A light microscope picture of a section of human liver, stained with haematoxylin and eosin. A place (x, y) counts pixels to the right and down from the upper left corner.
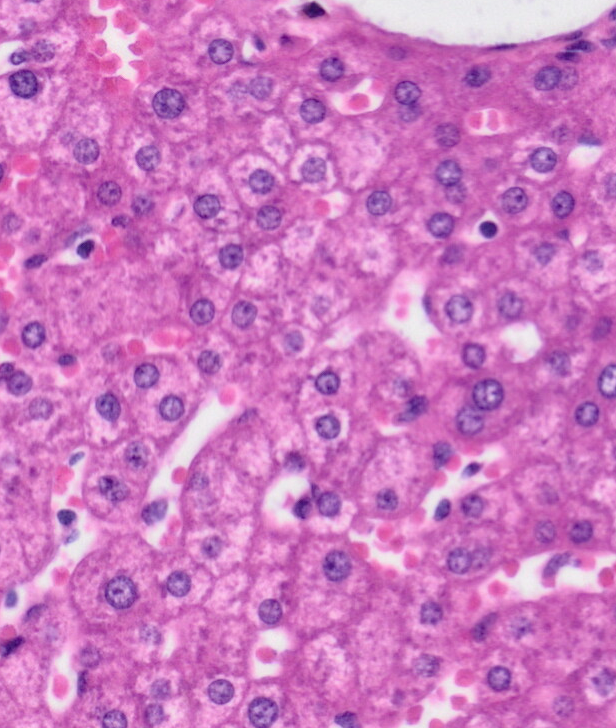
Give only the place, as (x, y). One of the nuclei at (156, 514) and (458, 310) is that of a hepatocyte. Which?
(458, 310)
